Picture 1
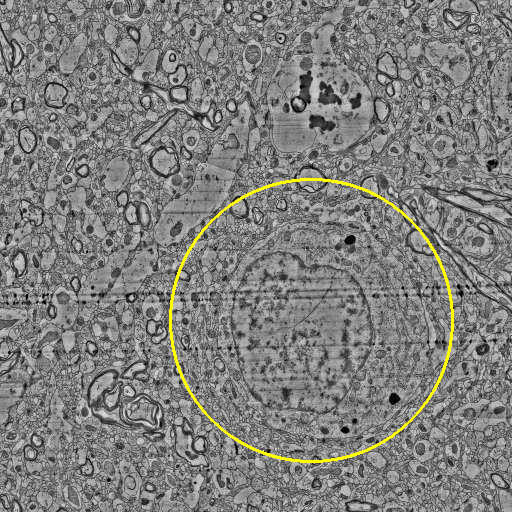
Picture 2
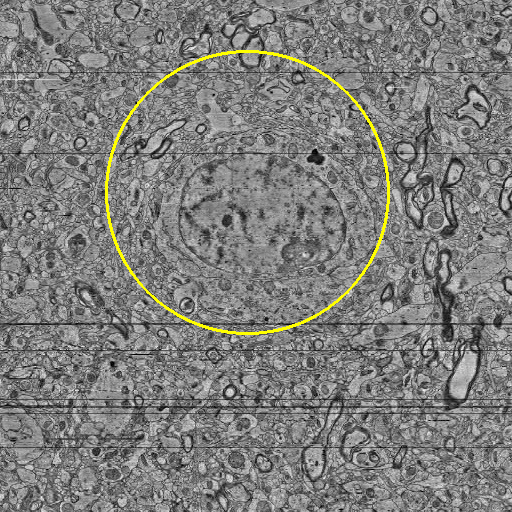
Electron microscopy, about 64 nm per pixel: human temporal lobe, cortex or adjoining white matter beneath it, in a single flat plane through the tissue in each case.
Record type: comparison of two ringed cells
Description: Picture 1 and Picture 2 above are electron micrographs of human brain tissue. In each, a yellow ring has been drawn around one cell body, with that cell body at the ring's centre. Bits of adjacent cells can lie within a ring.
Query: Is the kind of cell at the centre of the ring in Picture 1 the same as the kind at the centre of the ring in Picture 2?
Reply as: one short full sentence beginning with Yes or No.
Yes, the two ringed cells are of the same kind.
